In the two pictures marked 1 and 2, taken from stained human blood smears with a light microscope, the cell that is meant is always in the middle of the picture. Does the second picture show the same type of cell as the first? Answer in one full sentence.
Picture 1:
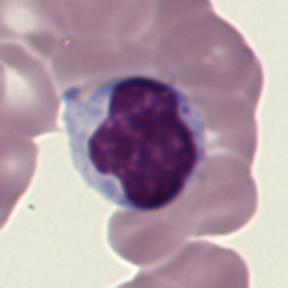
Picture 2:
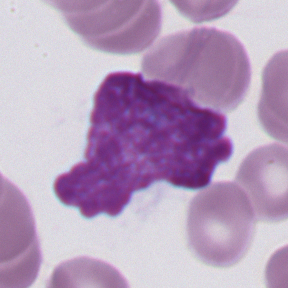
No, they differ: the cell is a typical lymphocyte in picture 1 and a smudge cell in picture 2.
